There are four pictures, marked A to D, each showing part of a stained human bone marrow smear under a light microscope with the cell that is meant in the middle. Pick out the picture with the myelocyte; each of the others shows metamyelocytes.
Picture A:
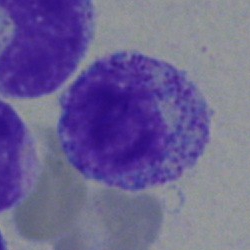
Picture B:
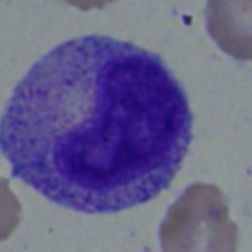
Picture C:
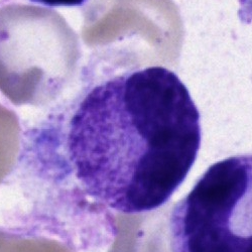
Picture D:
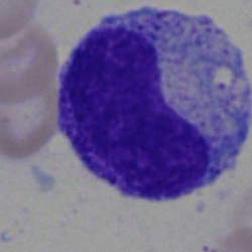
A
